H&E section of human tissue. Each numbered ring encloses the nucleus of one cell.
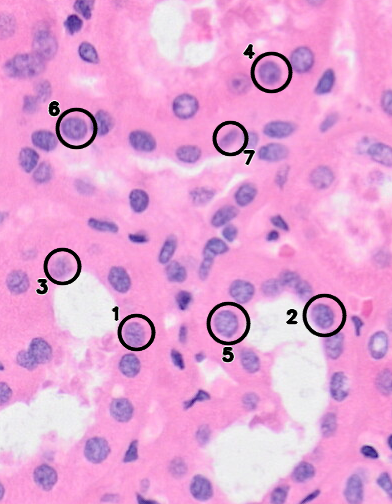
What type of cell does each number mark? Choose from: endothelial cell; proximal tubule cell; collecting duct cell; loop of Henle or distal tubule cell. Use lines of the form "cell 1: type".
cell 1: loop of Henle or distal tubule cell
cell 2: loop of Henle or distal tubule cell
cell 3: loop of Henle or distal tubule cell
cell 4: proximal tubule cell
cell 5: loop of Henle or distal tubule cell
cell 6: collecting duct cell
cell 7: collecting duct cell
